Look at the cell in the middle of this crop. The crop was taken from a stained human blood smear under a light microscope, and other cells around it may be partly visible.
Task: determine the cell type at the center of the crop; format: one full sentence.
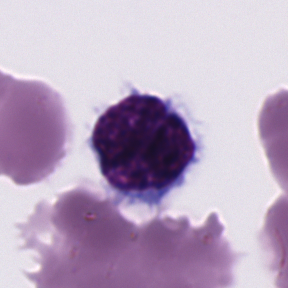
In this smear crop, the middle cell is a hairy cell.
